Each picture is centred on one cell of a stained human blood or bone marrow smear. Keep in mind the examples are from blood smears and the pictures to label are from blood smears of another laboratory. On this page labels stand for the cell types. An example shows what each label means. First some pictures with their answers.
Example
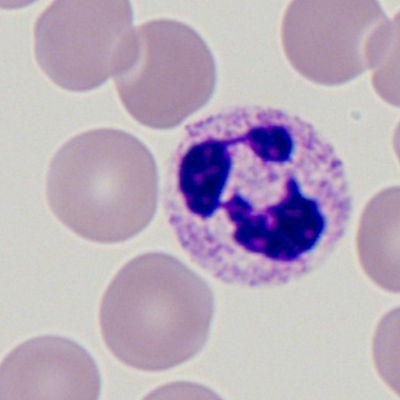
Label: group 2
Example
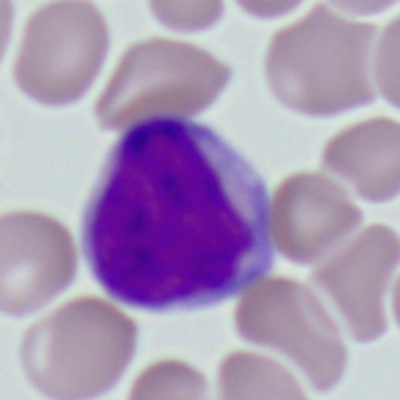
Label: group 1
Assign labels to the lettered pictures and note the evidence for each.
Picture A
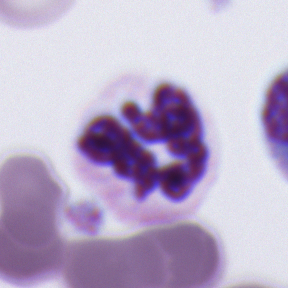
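group 2. The cytoplasm is pale pink.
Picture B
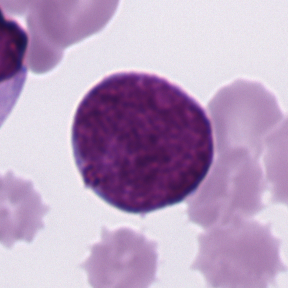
group 1. Only a very thin rim of cytoplasm is visible at the edge of the nucleus.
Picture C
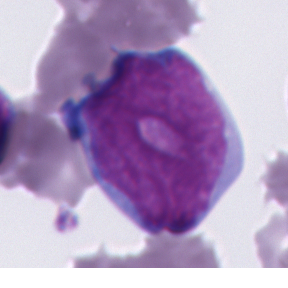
group 1. The nucleus is a single unlobed mass that fills most of the cell.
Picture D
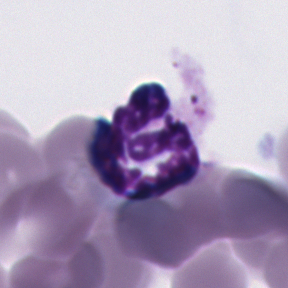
group 2. A pale, unstained space lies in the centre of the cell between the nuclear lobes.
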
